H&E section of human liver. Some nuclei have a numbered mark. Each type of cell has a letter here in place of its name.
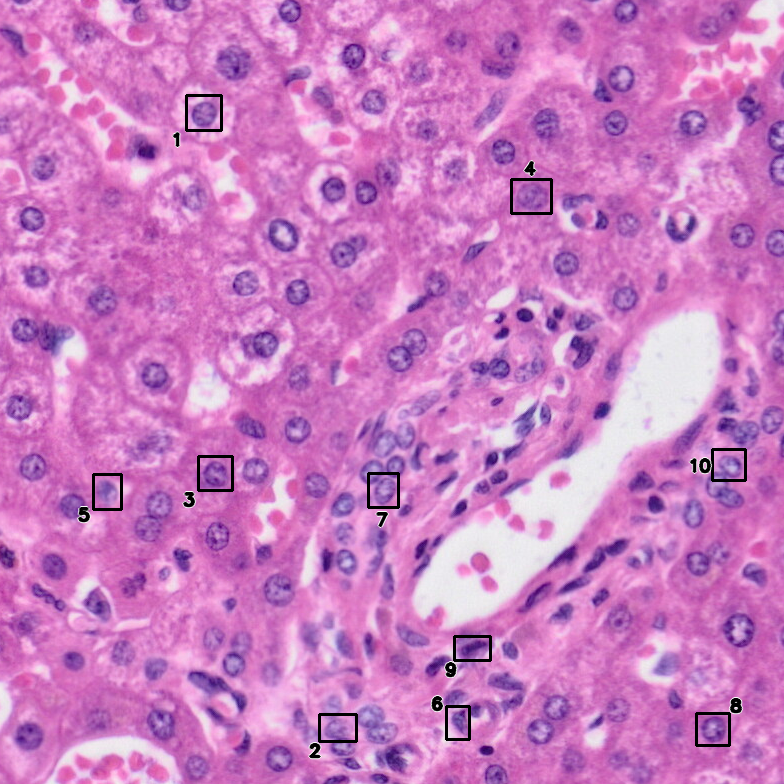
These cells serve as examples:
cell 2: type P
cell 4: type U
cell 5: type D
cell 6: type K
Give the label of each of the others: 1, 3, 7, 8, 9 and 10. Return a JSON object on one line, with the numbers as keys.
{"1": "type U", "3": "type U", "7": "type P", "8": "type U", "9": "type K", "10": "type P"}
